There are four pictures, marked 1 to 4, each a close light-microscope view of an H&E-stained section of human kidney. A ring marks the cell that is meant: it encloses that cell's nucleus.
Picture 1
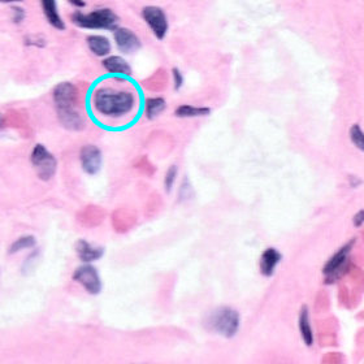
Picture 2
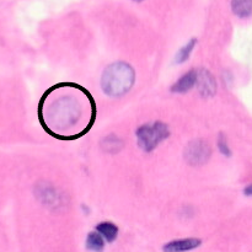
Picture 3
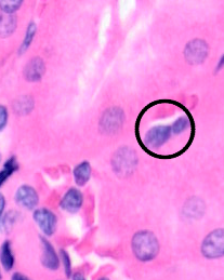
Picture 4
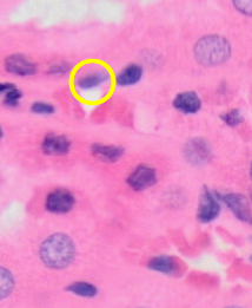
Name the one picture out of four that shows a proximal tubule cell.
2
